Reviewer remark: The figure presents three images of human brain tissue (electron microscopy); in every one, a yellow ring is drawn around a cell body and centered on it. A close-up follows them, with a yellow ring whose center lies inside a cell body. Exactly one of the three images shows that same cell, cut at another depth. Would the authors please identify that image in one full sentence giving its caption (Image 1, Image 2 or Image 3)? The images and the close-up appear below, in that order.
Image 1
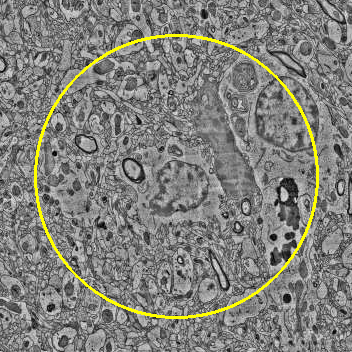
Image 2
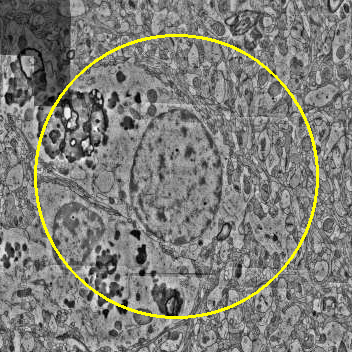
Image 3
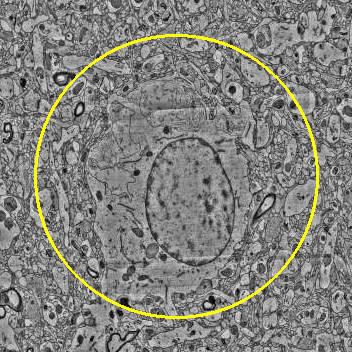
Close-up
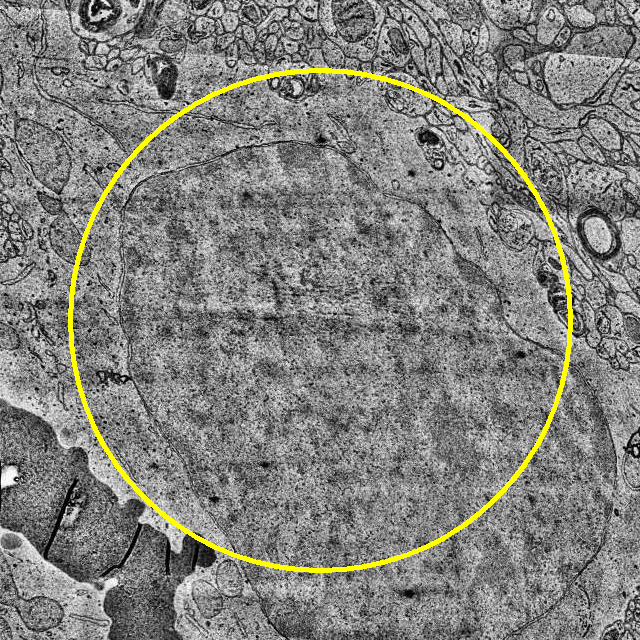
The close-up image matches the cell inside the ring of Image 1.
